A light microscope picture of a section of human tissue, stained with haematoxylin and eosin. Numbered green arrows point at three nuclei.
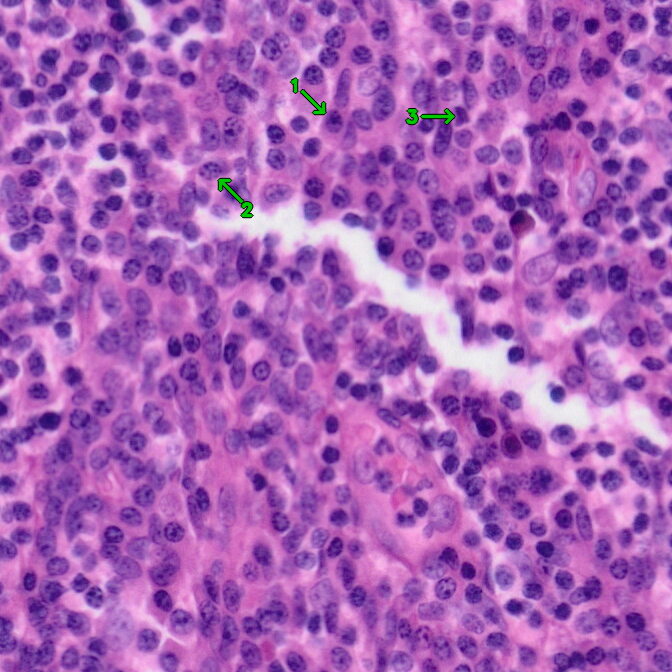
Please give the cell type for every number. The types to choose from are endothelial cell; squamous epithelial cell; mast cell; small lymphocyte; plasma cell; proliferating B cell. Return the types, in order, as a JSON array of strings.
["plasma cell", "plasma cell", "squamous epithelial cell"]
